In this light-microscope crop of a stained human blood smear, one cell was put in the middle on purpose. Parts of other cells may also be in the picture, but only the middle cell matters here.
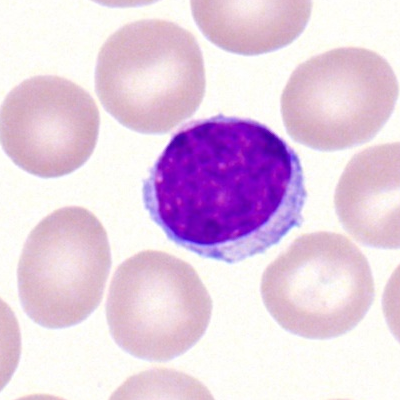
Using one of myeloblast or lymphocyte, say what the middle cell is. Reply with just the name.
lymphocyte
